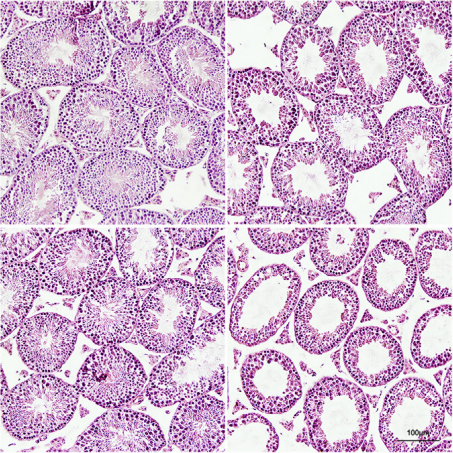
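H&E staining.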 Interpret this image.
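Cross-sections of seminiferous tubules of the testis fill the field, each lined by a stratified epithelium of purple-stained nuclei around a central lumen. In the left column the epithelium is thick, with many layers of cells reaching towards a narrow lumen that holds pale pink fibrous material. In the right column the tubules have a thinner epithelial lining and wider, mostly empty lumens. Narrow interstitial spaces separate neighbouring tubules. The tubules in the lower right quarter show the thinnest linings and the most open lumens.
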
